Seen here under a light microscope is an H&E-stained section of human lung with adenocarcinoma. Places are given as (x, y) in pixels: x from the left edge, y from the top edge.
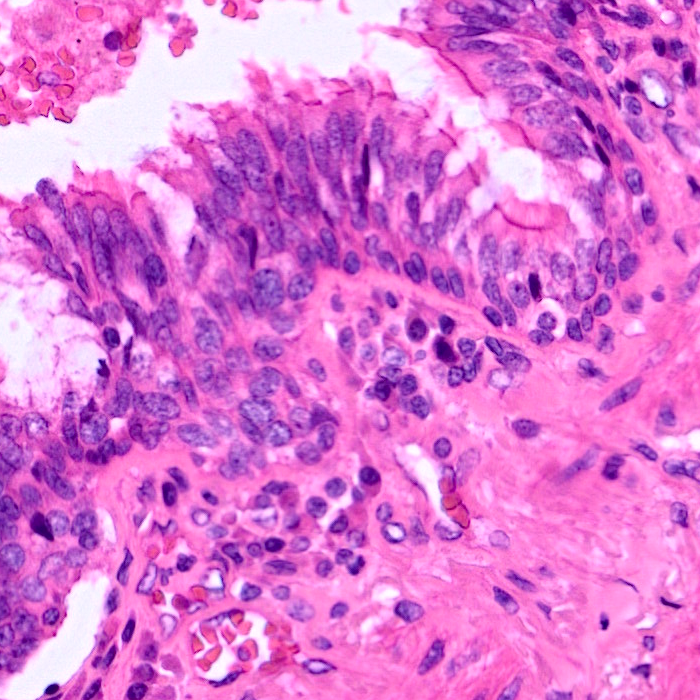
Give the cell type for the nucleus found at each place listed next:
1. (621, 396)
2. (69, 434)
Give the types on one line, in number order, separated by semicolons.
smooth muscle cell or pericyte; ciliated epithelial cell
